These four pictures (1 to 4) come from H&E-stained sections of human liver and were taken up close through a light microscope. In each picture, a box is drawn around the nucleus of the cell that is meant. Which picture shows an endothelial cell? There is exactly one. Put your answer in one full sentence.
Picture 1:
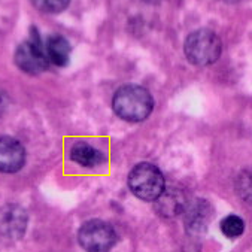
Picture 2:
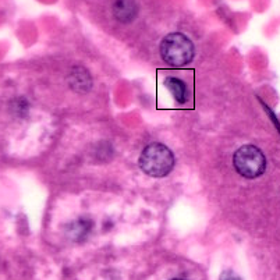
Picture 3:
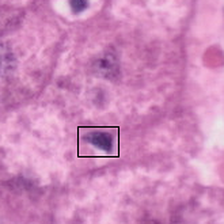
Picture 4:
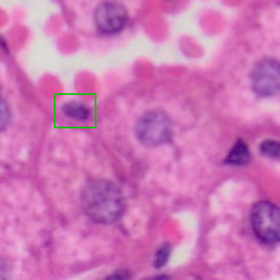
It is picture 3 that shows the endothelial cell.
